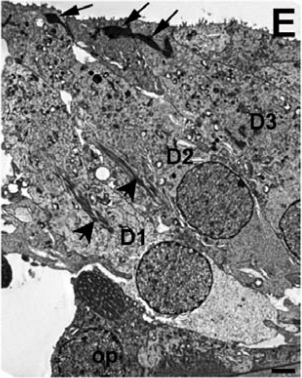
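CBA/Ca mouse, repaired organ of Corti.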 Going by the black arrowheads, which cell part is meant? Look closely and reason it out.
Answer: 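Microtubule bundles. Slender dense streaks run lengthwise in the cytoplasm of the supporting cells. They lie above the round nuclei near the cell bases.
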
